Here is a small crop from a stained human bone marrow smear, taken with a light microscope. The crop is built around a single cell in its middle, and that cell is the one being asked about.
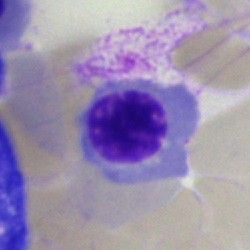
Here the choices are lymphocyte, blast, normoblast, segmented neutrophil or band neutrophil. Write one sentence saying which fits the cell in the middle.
Where the crop is centred, there is a normoblast.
